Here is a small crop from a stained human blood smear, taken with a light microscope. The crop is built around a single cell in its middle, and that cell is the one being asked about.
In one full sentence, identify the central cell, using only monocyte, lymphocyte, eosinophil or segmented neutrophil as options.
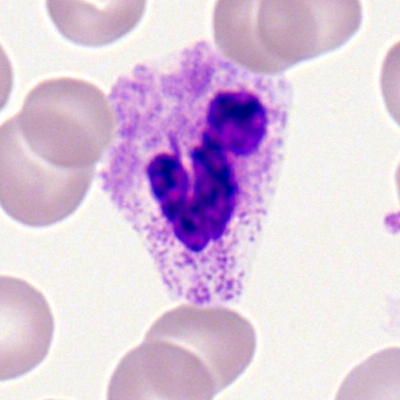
The middle position in this crop is taken by a segmented neutrophil.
